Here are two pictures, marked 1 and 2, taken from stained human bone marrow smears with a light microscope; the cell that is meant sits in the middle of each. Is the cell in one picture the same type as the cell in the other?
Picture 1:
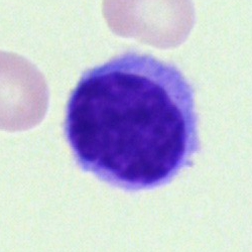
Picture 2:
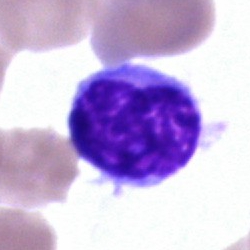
yes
